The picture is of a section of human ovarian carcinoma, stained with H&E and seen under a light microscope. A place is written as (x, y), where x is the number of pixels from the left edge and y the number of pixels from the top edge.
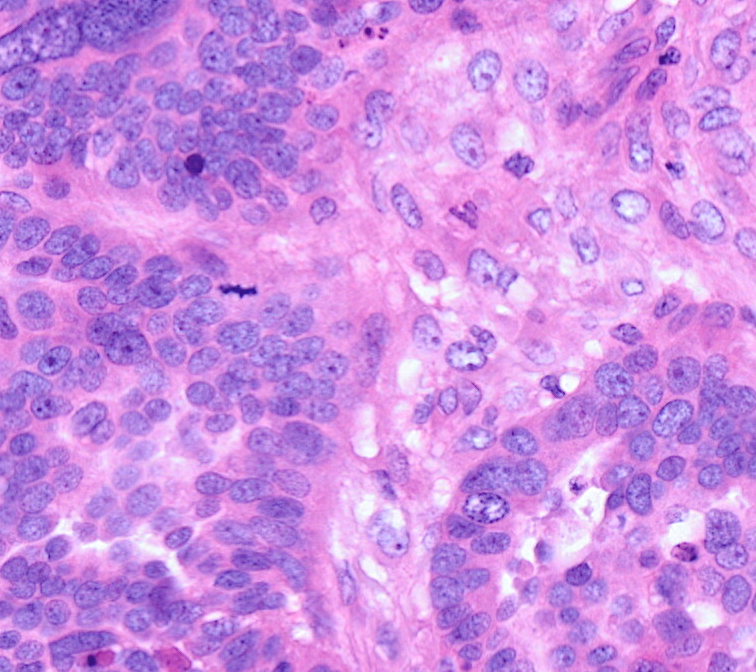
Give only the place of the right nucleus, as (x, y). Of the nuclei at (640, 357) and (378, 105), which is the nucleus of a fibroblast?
(378, 105)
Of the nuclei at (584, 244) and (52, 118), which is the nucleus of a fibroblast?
(584, 244)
